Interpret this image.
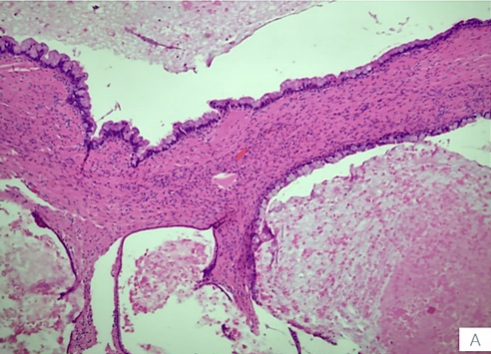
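Cyst wall lined by a single layer of tall columnar mucinous epithelium with pale apical cytoplasm and small basal nuclei. Beneath lies a dense, cellular band of spindle-cell stroma that branches between cyst spaces filled with pale pink material.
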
